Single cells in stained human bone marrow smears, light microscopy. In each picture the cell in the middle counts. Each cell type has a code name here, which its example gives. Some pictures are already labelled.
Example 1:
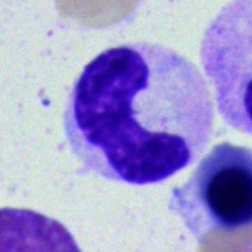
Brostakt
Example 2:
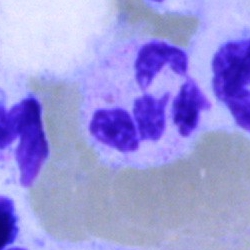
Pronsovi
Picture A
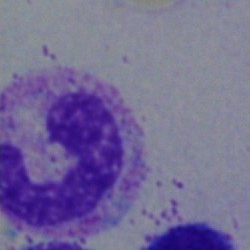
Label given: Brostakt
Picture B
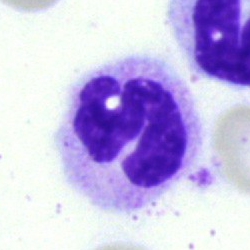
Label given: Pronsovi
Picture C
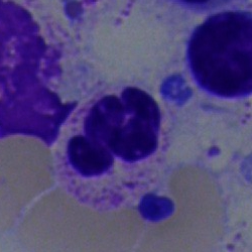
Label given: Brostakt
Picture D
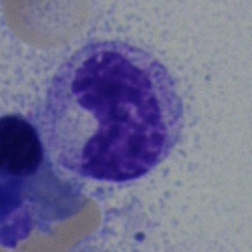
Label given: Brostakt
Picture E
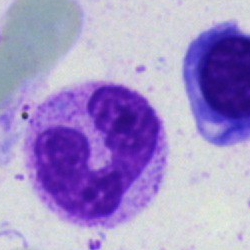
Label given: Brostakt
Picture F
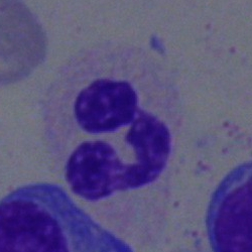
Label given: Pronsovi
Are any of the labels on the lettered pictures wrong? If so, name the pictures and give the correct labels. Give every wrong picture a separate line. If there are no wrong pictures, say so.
C: not Brostakt but Pronsovi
